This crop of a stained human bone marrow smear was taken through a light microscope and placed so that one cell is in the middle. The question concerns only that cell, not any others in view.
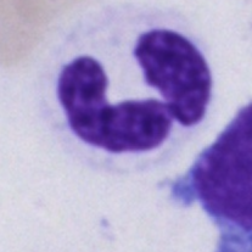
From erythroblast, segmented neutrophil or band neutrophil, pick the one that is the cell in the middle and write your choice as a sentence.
Centrally within this crop lies a segmented neutrophil.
